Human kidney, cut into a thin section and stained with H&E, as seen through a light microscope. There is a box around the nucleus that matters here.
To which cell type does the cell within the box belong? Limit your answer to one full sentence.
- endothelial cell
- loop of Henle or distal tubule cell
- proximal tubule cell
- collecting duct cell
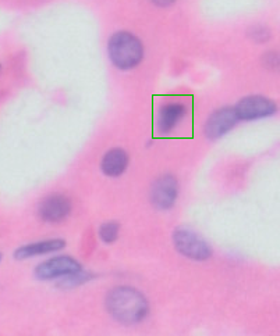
In cellular terms, the cell within the box is an endothelial cell.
